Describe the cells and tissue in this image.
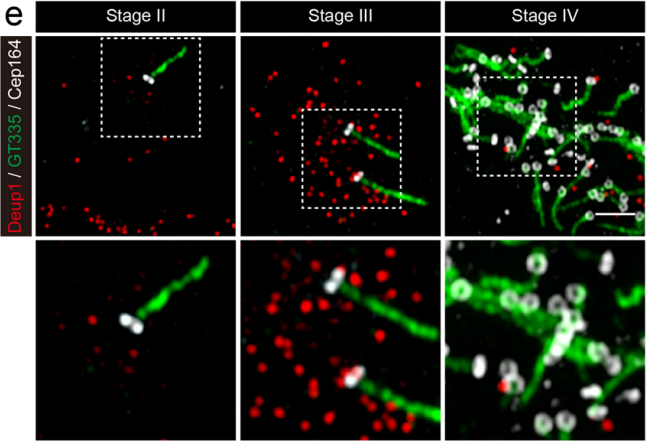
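In the earliest stage a single gray structure sits at the base of one long, thin green cilium, while a few red dots lie scattered nearby. In the middle stage many red dots fill the field and two gray structures each carry a green cilium. In the latest stage numerous small gray rings are crowded together and many green cilia project from among them, while red dots have become scarce. The enlarged views show the gray rings lying at the bases of the green filaments.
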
